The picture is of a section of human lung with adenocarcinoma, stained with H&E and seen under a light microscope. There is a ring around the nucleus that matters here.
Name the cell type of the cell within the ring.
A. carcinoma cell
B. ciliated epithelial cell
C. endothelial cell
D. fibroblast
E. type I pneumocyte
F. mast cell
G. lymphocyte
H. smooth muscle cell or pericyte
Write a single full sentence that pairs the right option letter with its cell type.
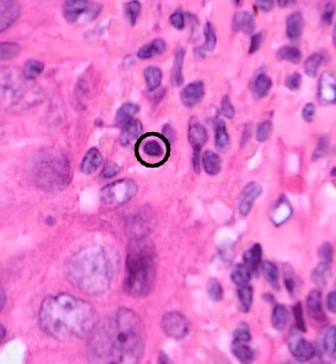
Option G is correct in stating that the cell within the ring is a lymphocyte.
